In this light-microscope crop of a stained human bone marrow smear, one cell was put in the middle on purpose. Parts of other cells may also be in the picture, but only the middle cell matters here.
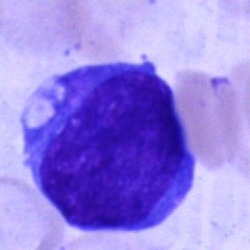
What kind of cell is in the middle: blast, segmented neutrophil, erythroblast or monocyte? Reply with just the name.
blast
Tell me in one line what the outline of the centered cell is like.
Because its outline is ragged or drawn out into projections, the cell lacks a smooth border.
